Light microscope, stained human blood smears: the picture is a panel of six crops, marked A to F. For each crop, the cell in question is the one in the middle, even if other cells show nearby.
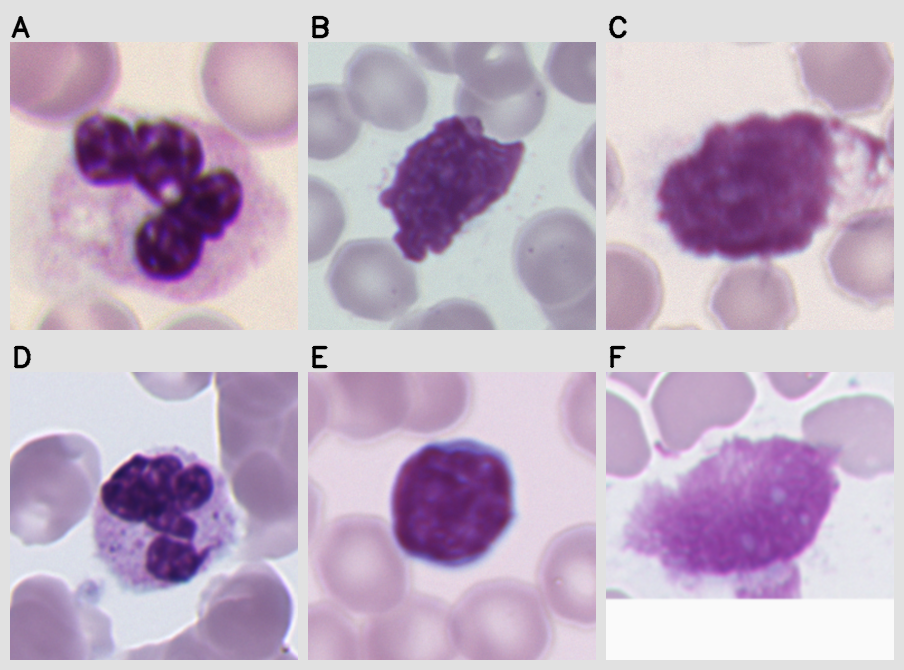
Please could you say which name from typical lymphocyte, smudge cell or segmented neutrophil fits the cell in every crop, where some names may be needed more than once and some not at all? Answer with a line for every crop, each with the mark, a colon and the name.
A: segmented neutrophil
B: smudge cell
C: smudge cell
D: segmented neutrophil
E: typical lymphocyte
F: smudge cell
